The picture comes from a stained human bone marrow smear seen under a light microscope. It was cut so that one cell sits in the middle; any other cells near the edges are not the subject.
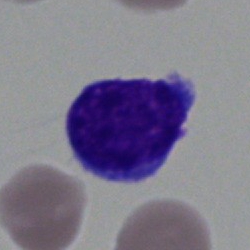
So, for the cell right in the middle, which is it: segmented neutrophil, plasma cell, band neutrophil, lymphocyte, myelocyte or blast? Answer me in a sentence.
The central element of this crop is a cell, namely a lymphocyte.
